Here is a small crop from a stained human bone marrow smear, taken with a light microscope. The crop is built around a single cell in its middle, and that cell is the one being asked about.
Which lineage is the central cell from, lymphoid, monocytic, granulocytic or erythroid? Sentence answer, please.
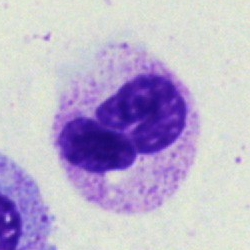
In terms of lineage, the cell at the center is granulocytic.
